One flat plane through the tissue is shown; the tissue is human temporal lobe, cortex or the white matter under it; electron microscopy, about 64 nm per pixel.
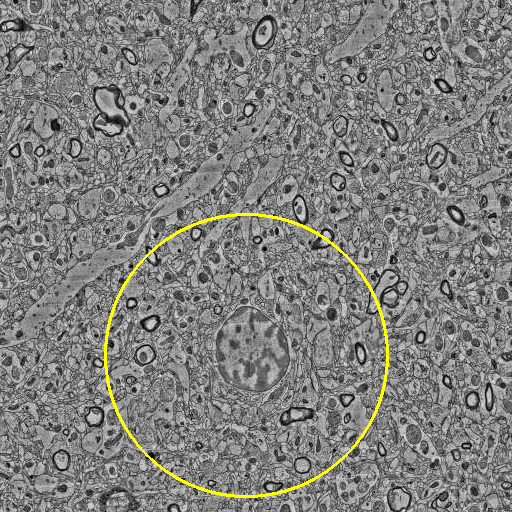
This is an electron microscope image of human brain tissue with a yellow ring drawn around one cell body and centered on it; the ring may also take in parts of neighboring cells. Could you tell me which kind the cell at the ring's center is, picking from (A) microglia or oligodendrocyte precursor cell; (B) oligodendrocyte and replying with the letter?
A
